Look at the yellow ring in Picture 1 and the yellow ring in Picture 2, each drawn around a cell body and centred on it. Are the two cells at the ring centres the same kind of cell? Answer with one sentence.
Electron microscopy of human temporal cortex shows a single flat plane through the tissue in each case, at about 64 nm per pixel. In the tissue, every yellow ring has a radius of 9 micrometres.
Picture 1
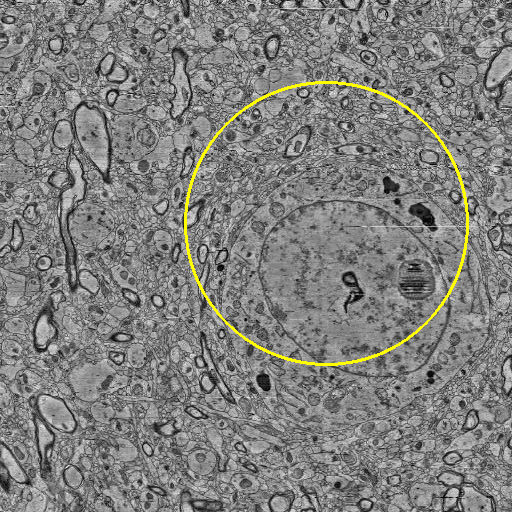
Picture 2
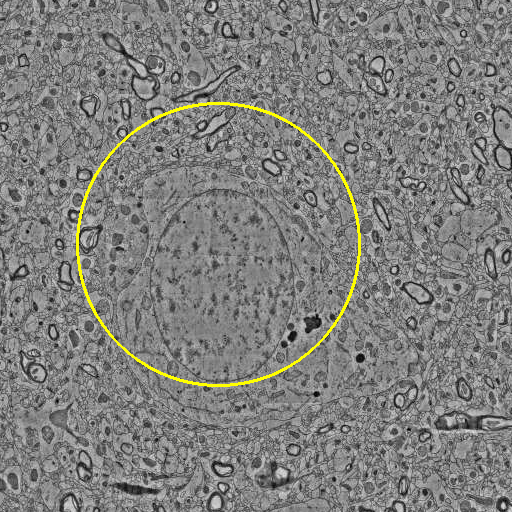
Yes, both are the same kind of cell.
